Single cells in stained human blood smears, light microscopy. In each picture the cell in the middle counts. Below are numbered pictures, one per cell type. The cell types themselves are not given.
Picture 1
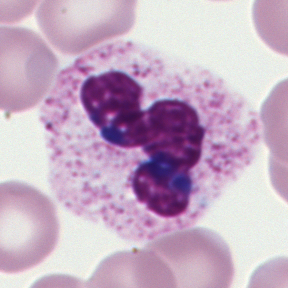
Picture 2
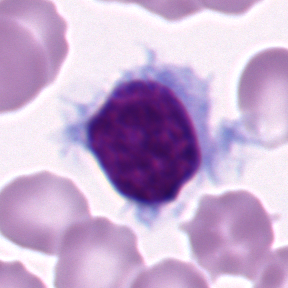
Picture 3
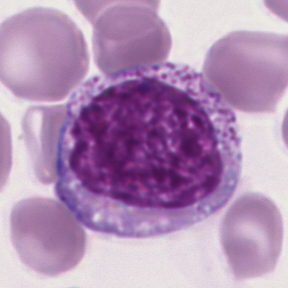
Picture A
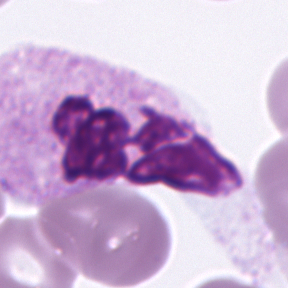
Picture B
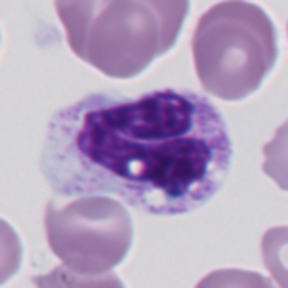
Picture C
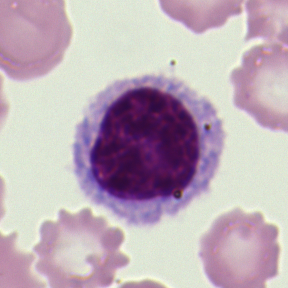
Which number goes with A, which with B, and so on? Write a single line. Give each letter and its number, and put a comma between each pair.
A 1, B 1, C 2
